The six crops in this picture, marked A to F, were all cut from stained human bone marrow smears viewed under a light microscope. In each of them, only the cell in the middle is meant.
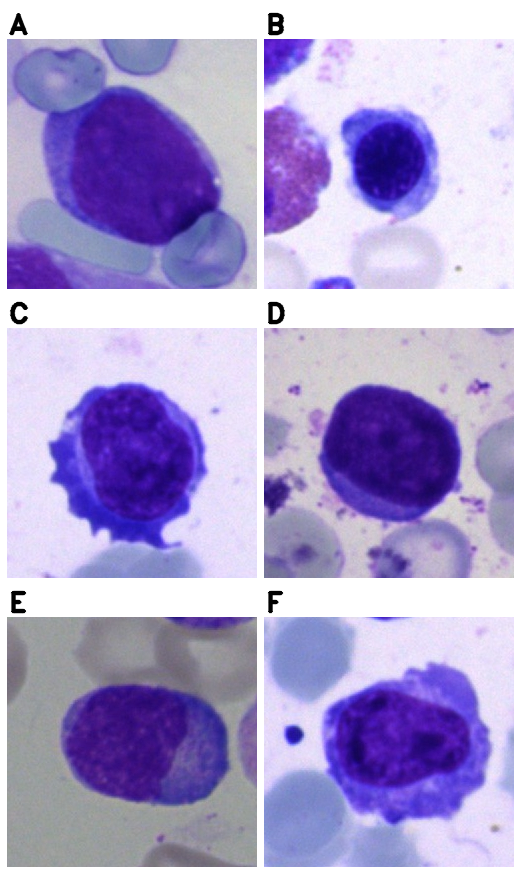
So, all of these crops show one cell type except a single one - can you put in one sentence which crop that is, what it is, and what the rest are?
The single exception among the crops is crop B, which is a normoblast; the rest show blasts.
